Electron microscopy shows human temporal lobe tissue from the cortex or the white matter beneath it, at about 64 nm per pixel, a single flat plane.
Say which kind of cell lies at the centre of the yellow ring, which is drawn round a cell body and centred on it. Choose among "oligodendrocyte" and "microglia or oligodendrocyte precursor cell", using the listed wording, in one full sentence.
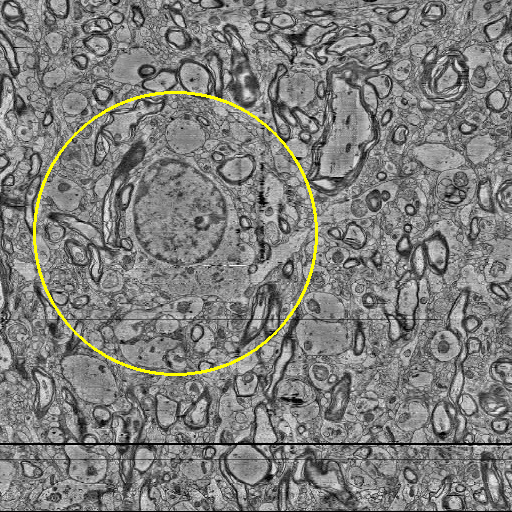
Going by the list, the cell at the yellow ring's centre is a microglial cell or oligodendrocyte precursor cell.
